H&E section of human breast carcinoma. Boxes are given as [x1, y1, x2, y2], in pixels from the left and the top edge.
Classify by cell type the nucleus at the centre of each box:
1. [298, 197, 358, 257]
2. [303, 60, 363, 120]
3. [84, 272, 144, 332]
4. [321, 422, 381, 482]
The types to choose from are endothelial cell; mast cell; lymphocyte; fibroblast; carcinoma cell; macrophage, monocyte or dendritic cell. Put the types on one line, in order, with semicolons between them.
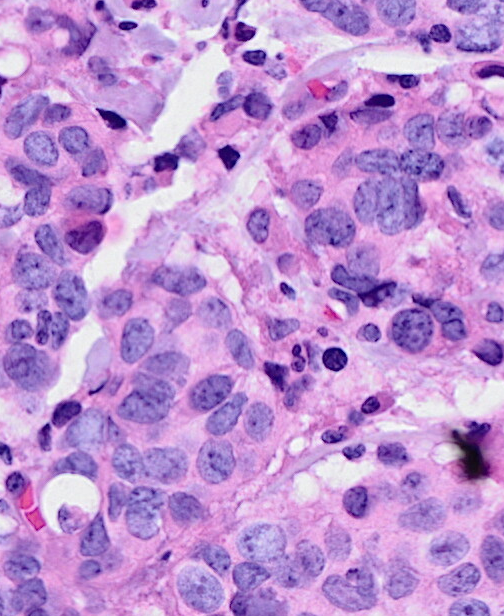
carcinoma cell; endothelial cell; carcinoma cell; lymphocyte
